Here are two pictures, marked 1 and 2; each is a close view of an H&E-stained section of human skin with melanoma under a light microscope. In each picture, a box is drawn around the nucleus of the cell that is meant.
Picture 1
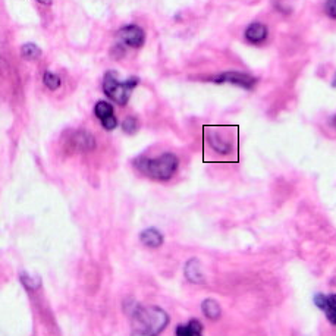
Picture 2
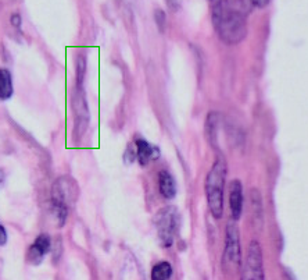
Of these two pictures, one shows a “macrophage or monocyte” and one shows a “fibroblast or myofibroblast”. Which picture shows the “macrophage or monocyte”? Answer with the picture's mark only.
1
